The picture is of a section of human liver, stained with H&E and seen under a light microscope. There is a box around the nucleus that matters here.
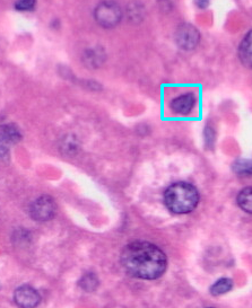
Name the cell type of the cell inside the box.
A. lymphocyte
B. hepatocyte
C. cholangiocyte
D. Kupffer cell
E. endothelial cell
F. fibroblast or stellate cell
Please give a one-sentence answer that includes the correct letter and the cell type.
According to option F, the cell inside the box is a fibroblast or stellate cell, and this is correct.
